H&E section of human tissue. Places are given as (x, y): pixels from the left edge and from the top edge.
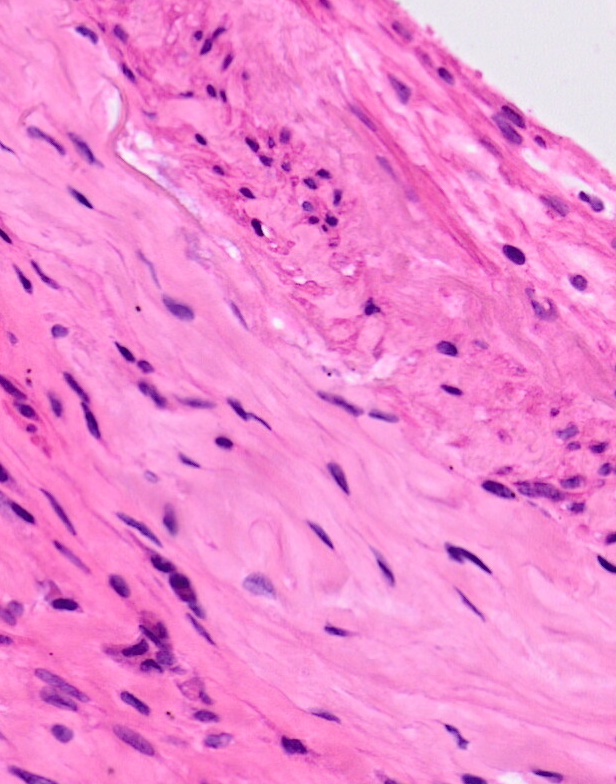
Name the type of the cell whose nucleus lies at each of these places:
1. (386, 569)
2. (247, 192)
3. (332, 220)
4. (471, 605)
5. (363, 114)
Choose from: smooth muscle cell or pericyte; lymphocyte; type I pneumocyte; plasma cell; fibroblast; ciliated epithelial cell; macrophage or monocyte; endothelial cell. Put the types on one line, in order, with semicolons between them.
fibroblast; smooth muscle cell or pericyte; smooth muscle cell or pericyte; fibroblast; smooth muscle cell or pericyte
